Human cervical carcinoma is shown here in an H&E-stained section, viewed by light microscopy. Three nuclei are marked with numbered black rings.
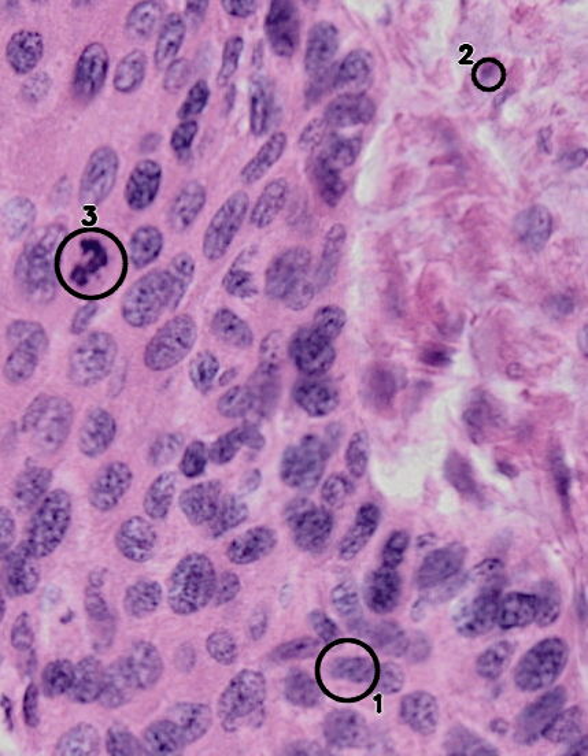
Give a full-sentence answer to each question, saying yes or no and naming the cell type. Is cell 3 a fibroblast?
No, cell 3 does not count as a fibroblast; it is a squamous carcinoma cell.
